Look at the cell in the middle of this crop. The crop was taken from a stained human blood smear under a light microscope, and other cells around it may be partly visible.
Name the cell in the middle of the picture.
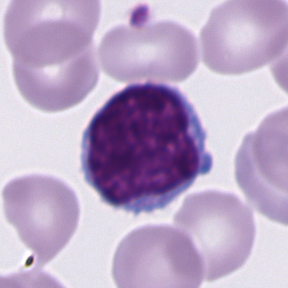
typical lymphocyte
